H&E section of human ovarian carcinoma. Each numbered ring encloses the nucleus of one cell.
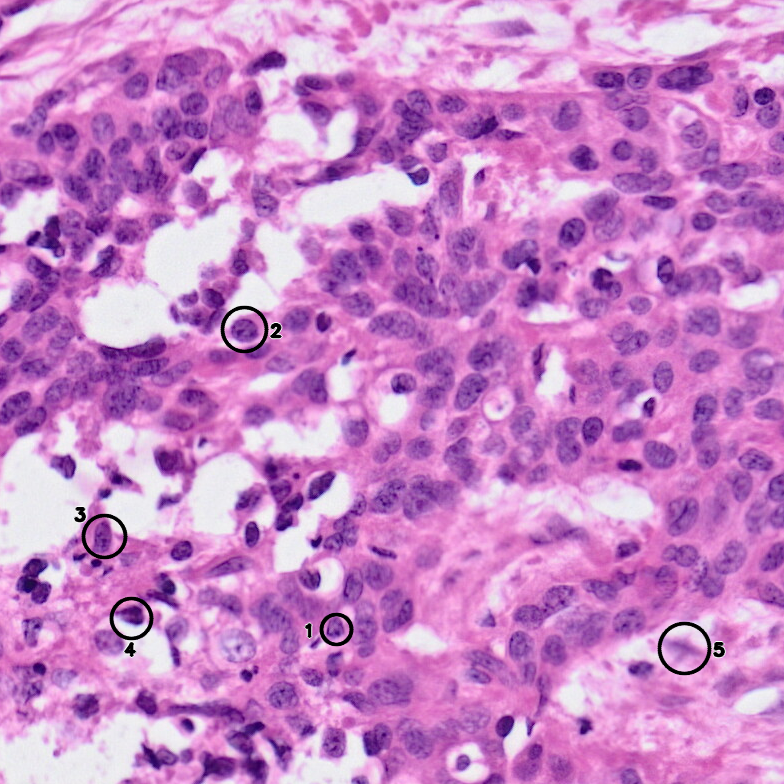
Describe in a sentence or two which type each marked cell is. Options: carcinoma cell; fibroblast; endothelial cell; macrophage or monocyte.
Cells 1, 2 and 3 are macrophages or monocytes. Cell 4 is a carcinoma cell. Cell 5 is a fibroblast.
